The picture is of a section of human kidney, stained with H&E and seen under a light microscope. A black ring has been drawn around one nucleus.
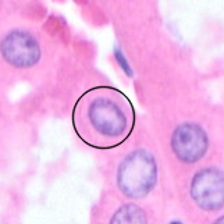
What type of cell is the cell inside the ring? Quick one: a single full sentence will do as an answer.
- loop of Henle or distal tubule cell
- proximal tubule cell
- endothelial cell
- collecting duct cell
The classification of the cell inside the ring is as a proximal tubule cell.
